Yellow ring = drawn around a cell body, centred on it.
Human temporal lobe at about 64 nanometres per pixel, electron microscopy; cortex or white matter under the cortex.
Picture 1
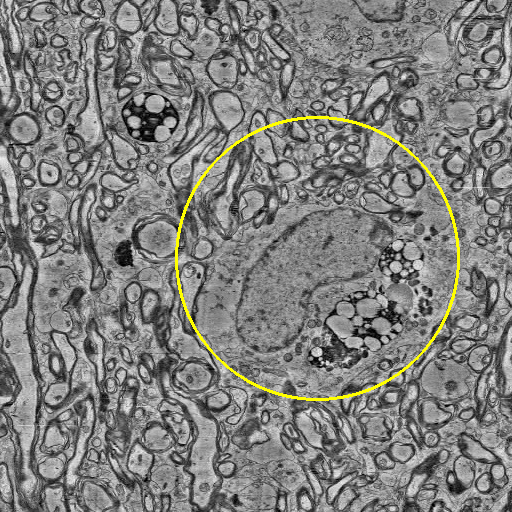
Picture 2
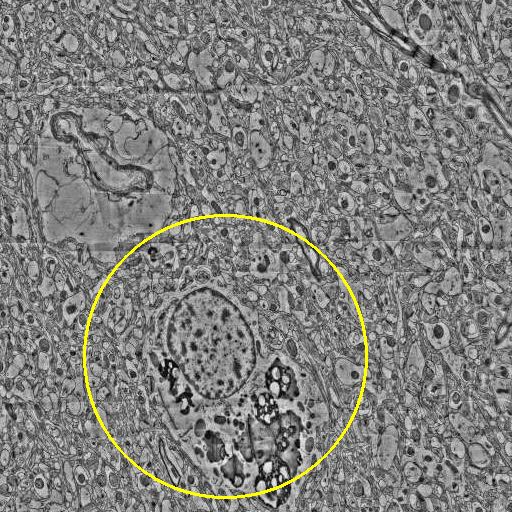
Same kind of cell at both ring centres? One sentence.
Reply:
Yes, they are the same kind of cell.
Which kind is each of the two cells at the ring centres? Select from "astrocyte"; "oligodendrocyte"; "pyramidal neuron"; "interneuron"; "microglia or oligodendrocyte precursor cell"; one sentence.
Both the first and the second picture show an astrocyte in the ring.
